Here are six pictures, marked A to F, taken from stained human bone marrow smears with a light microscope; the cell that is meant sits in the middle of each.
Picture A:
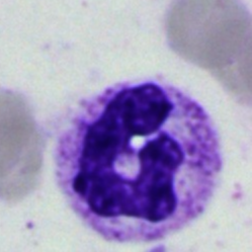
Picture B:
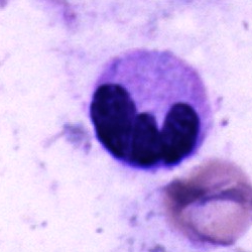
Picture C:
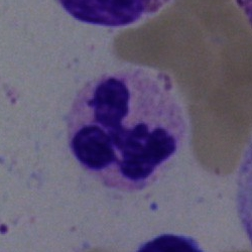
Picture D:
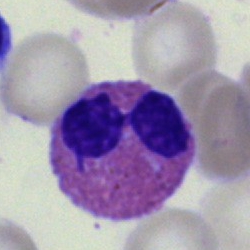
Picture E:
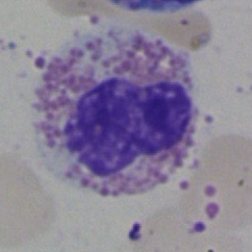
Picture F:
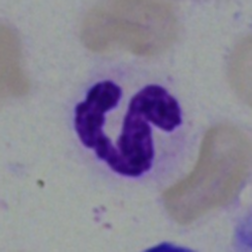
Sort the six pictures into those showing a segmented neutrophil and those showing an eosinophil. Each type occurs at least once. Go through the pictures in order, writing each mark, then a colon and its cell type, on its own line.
A: segmented neutrophil
B: segmented neutrophil
C: segmented neutrophil
D: eosinophil
E: eosinophil
F: segmented neutrophil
